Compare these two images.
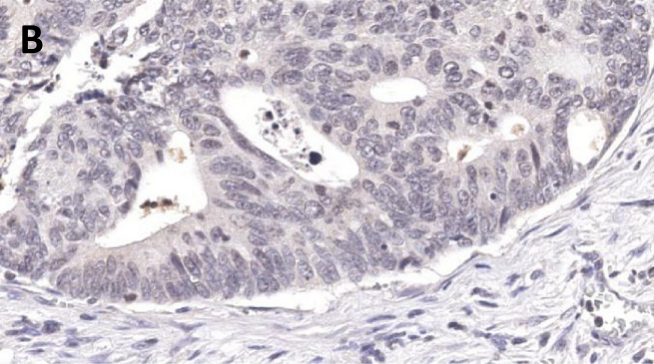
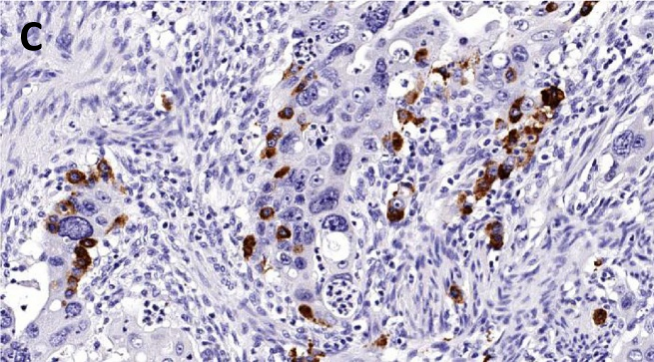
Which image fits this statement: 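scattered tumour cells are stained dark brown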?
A: The second image.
